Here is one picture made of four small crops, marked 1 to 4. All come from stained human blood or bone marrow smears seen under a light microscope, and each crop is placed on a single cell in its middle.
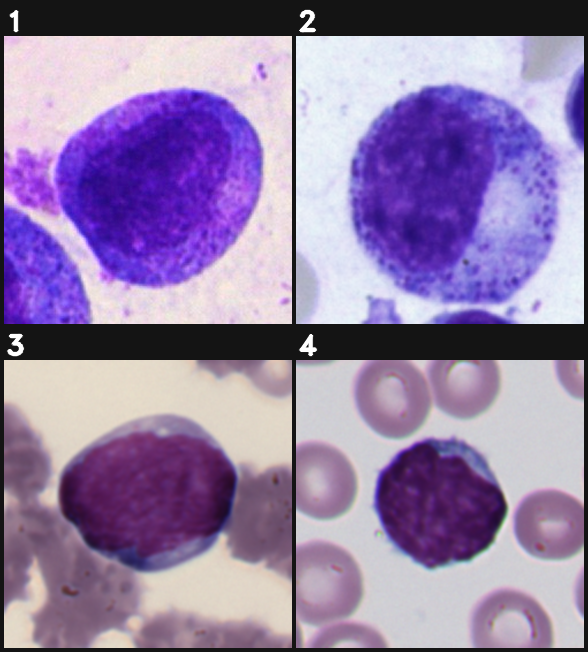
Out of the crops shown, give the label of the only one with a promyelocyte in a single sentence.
Crop 2 is the one in this set that shows a promyelocyte.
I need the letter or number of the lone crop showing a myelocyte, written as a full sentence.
Crop 1 is the crop featuring a myelocyte at its center.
